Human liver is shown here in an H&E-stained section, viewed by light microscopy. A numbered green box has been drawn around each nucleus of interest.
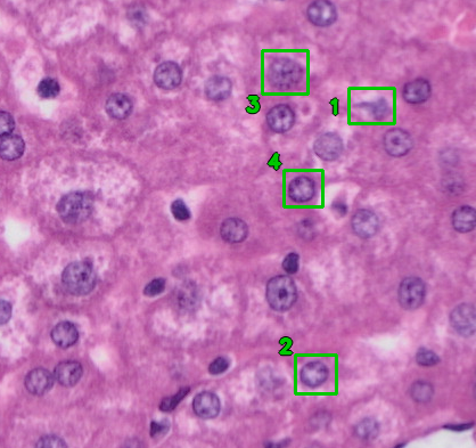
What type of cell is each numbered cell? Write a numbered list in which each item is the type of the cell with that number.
1. endothelial cell
2. hepatocyte
3. hepatocyte
4. hepatocyte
